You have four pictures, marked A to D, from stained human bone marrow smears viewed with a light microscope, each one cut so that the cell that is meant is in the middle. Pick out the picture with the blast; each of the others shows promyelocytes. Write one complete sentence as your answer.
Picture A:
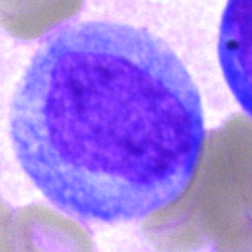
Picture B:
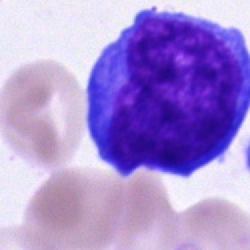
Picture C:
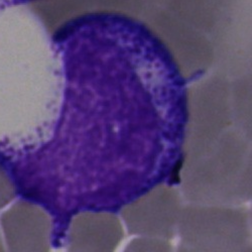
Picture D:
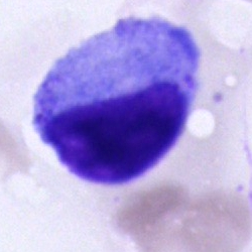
The picture with the blast is B.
